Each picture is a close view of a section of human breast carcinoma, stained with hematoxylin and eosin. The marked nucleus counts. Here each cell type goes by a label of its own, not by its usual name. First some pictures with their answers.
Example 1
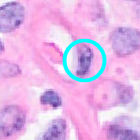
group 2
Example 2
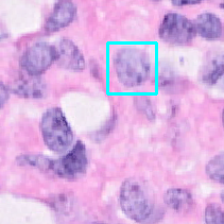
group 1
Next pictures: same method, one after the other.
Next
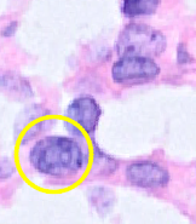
group 1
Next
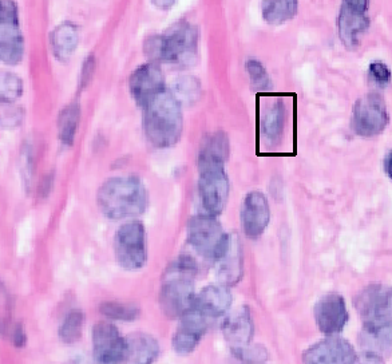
group 2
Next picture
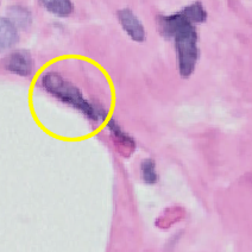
group 2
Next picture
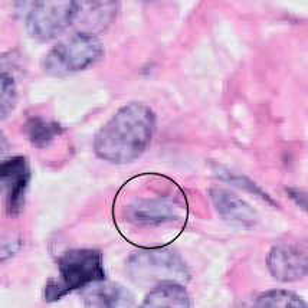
group 2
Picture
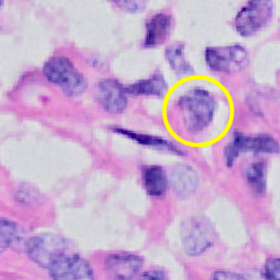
group 1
